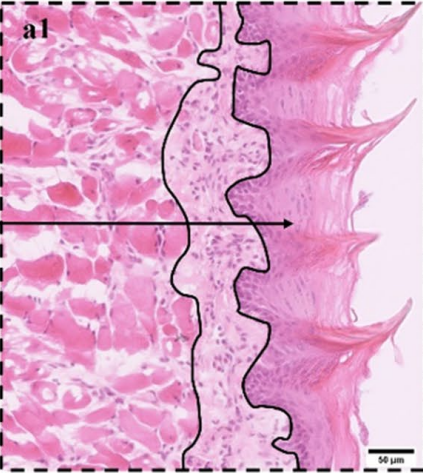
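The muscle fibers are deep pink and cut at various angles. The stroma is a pale pink band with scattered small elongated nuclei, and it meets the epithelium along an undulating border. In the epithelium, densely packed purple nuclei near the base give way to flatter, paler layers toward the surface, where a keratinized layer rises into regularly spaced pointed filiform papillae.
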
